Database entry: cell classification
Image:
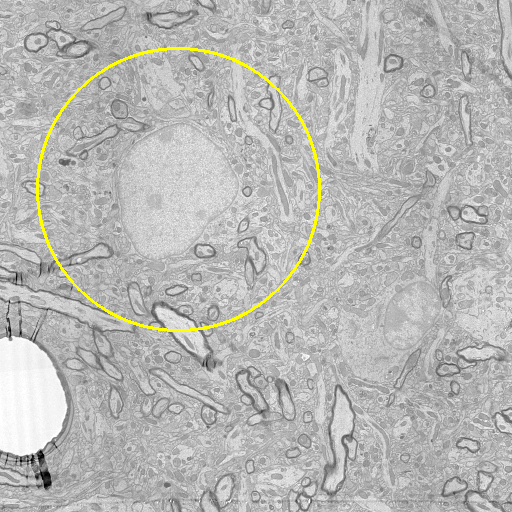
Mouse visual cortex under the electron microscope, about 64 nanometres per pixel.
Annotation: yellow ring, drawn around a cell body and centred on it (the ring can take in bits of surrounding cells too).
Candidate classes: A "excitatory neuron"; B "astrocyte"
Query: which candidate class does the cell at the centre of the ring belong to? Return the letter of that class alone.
B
